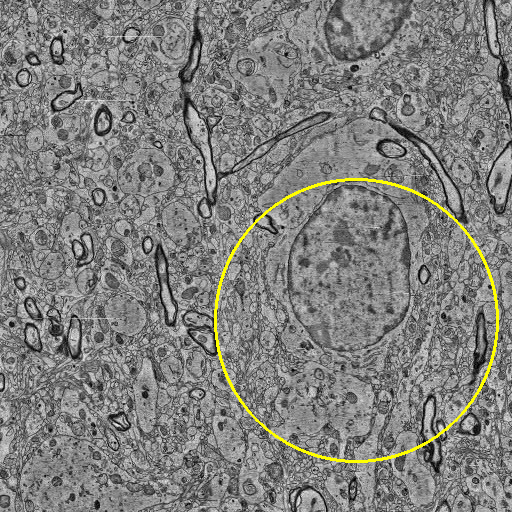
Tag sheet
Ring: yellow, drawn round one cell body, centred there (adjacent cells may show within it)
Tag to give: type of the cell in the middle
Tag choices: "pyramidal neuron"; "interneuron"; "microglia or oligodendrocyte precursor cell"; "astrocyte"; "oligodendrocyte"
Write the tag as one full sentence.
I tag the cell centred in the yellow ring as a microglial cell or oligodendrocyte precursor cell in this picture.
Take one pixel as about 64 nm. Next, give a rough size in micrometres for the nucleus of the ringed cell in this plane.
Roughly 11 by 8 micrometres in this plane, for the nucleus of the ringed cell.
